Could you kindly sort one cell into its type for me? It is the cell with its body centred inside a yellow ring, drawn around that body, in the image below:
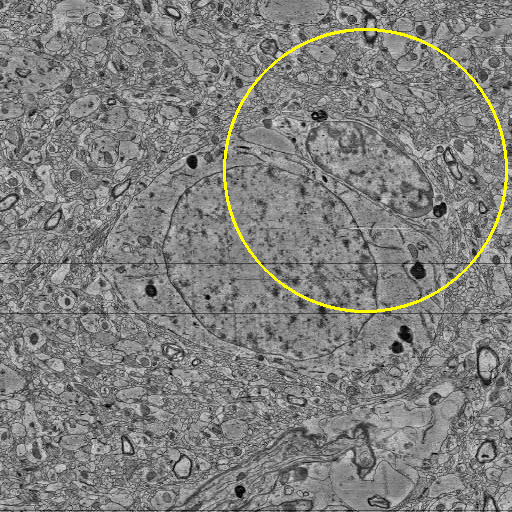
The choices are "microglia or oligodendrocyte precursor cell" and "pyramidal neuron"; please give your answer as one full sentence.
The cell whose body lies centred in the yellow ring here is a microglial cell or oligodendrocyte precursor cell.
